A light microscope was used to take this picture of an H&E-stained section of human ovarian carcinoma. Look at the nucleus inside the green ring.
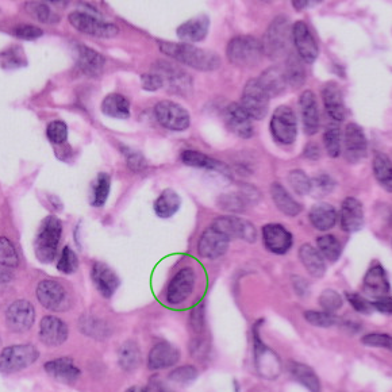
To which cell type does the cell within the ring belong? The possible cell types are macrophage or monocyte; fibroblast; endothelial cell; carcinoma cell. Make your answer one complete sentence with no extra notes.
As a matter of cell type, the cell within the ring is a carcinoma cell.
